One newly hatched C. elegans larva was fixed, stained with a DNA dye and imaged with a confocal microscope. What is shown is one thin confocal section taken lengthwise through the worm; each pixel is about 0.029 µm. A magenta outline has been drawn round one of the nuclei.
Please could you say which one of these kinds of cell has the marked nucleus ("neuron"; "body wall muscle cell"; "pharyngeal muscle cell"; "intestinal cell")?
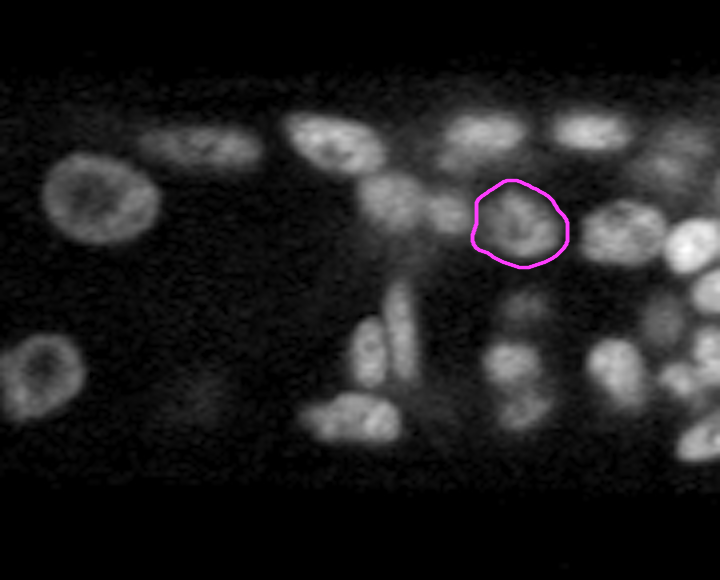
pharyngeal muscle cell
